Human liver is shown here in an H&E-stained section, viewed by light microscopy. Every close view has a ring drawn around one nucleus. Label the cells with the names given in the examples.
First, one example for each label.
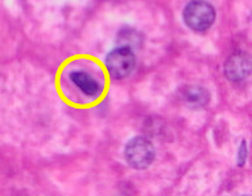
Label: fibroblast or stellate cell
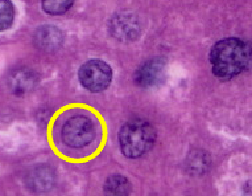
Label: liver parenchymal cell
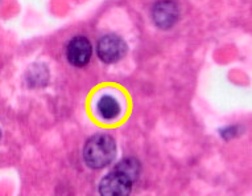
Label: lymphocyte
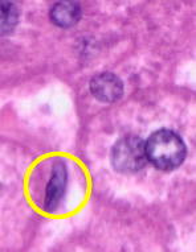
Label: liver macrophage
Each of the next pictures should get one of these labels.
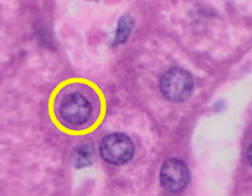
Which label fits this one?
liver parenchymal cell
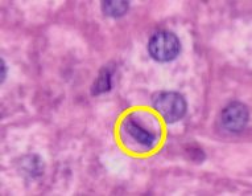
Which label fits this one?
fibroblast or stellate cell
